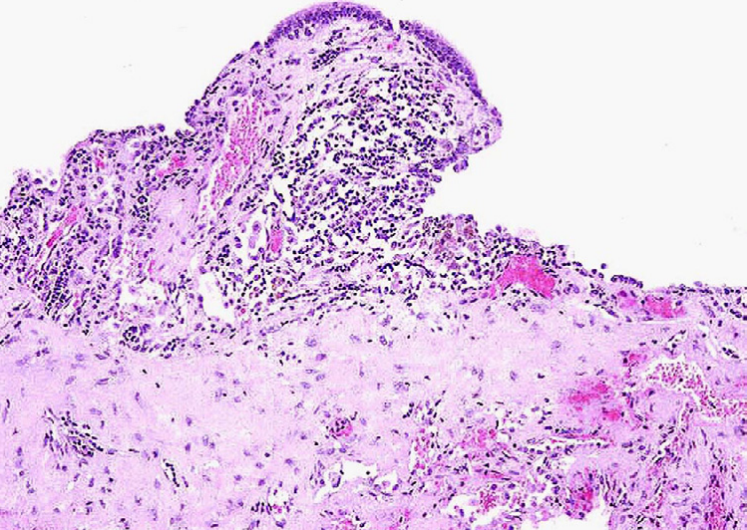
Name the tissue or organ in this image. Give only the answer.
Pseudostratified, respiratory-like epithelium.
